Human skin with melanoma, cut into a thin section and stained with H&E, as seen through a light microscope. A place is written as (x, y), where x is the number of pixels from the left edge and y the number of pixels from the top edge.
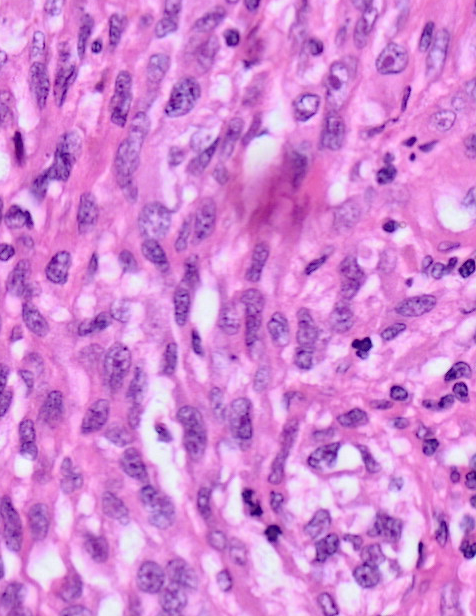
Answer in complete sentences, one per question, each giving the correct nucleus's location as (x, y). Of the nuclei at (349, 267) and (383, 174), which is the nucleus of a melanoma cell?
The member of the pair belonging to a melanoma cell is the nucleus at (349, 267).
